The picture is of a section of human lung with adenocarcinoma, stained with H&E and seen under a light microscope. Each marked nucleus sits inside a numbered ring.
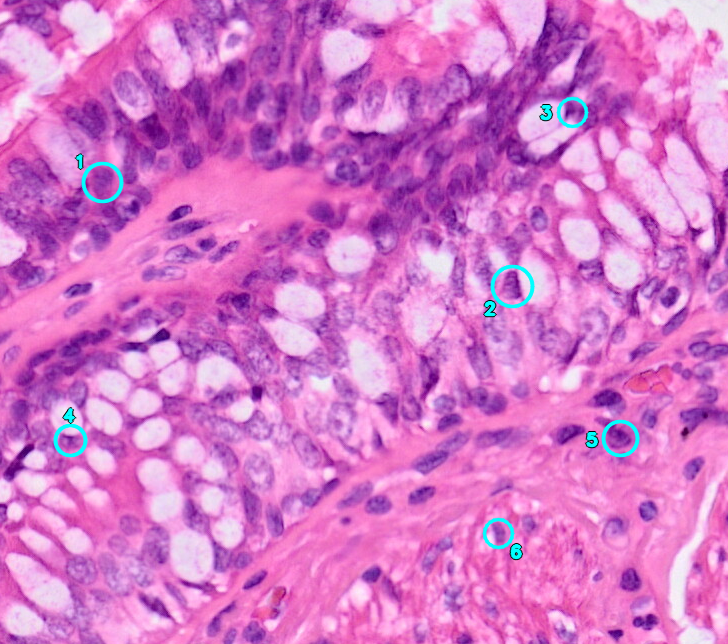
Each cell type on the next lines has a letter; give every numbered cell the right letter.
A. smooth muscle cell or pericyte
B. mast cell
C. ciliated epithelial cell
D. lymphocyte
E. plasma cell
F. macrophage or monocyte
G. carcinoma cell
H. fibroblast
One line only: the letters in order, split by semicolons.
C; C; C; C; E; A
